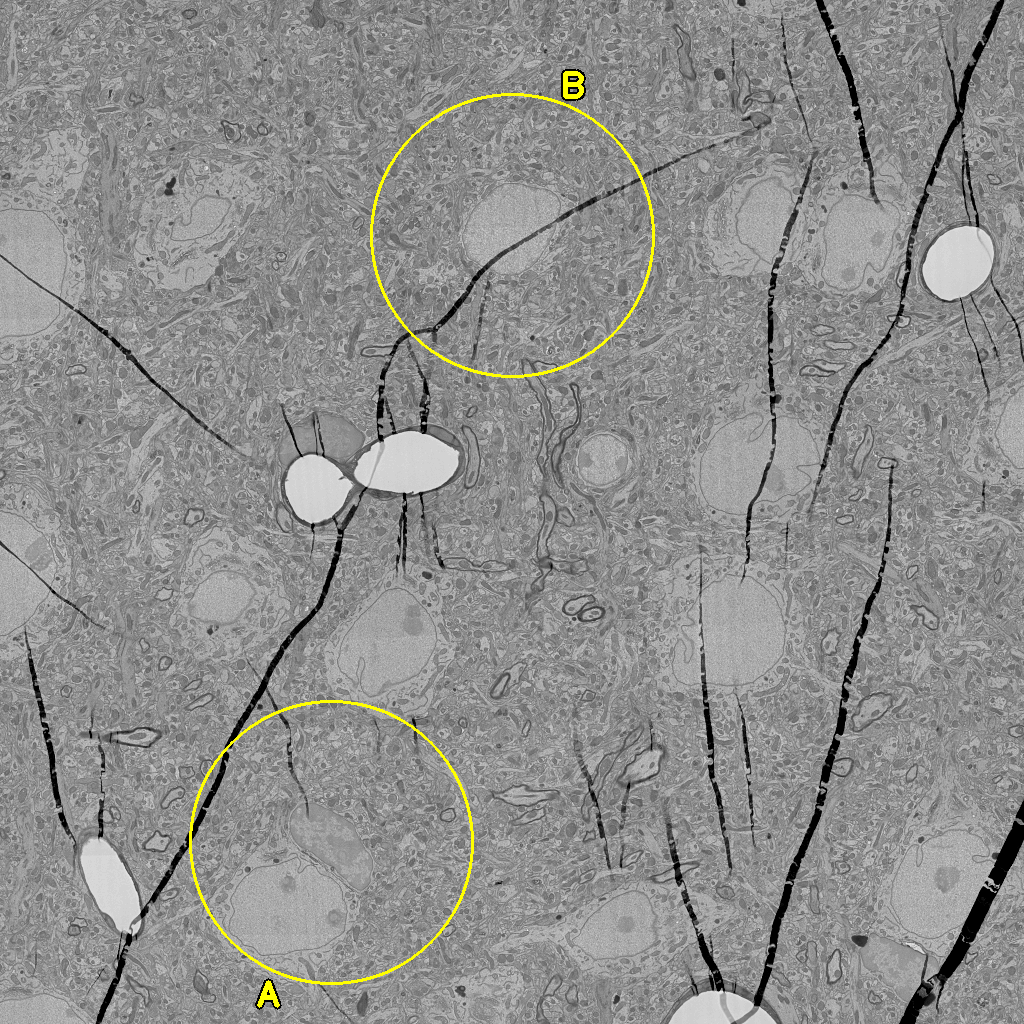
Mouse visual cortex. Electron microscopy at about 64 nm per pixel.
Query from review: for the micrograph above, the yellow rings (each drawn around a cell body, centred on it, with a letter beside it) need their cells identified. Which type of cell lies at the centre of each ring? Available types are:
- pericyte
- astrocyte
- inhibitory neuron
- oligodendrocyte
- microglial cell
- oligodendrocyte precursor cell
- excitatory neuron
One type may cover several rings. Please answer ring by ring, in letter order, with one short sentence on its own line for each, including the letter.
Ring A is drawn around a microglial cell.
Ring B is drawn around an astrocyte.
